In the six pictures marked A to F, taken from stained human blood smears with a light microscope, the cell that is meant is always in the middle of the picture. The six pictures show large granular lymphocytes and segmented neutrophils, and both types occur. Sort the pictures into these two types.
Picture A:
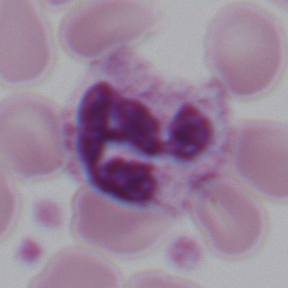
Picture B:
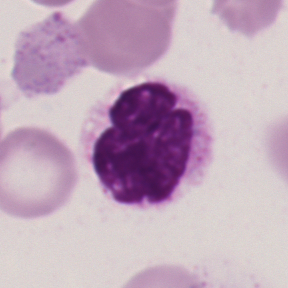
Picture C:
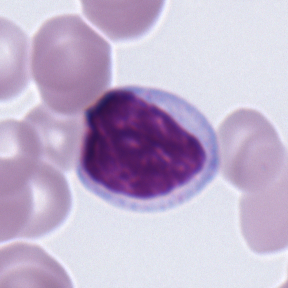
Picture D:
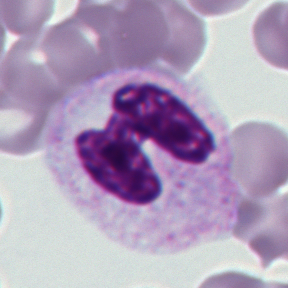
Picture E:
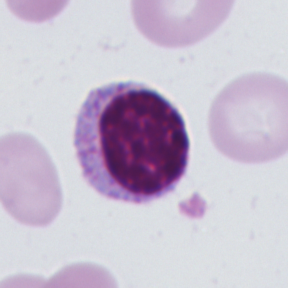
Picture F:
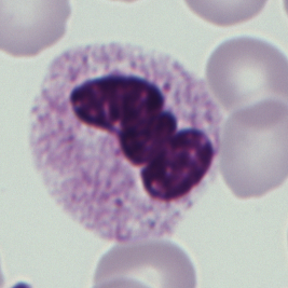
A: segmented neutrophil
B: segmented neutrophil
C: large granular lymphocyte
D: segmented neutrophil
E: large granular lymphocyte
F: segmented neutrophil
